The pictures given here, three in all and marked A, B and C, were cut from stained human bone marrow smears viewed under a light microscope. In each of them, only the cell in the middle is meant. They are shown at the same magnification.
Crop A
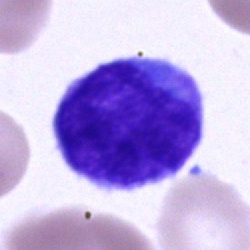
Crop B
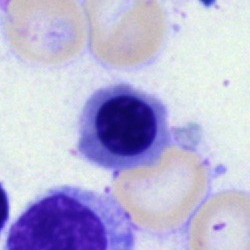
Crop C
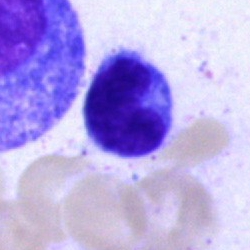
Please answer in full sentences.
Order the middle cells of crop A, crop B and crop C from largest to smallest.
From the largest down, the order is A, C, B.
